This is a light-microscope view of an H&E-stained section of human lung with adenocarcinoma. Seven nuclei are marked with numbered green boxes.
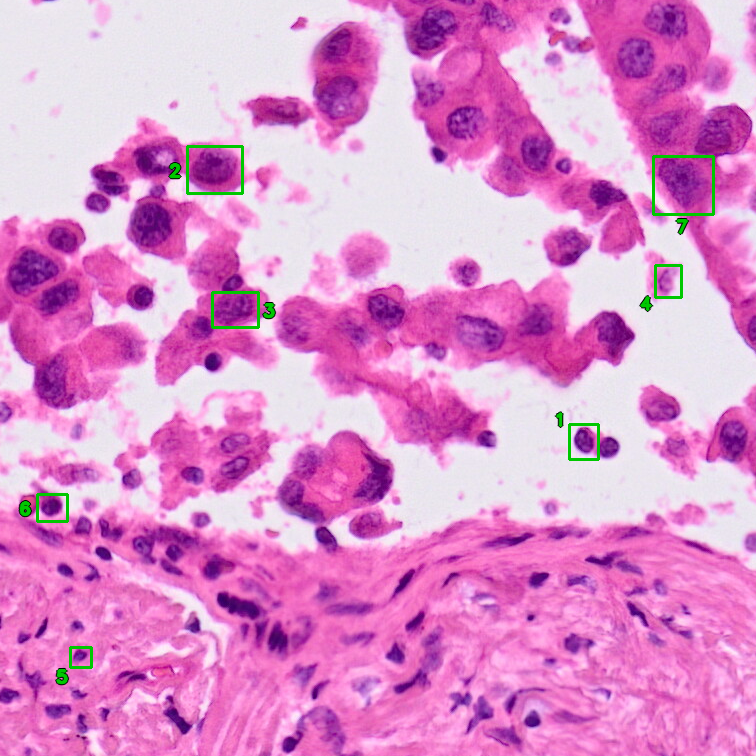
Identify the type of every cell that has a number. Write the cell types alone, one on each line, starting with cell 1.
lymphocyte
carcinoma cell
carcinoma cell
macrophage or monocyte
smooth muscle cell or pericyte
lymphocyte
carcinoma cell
